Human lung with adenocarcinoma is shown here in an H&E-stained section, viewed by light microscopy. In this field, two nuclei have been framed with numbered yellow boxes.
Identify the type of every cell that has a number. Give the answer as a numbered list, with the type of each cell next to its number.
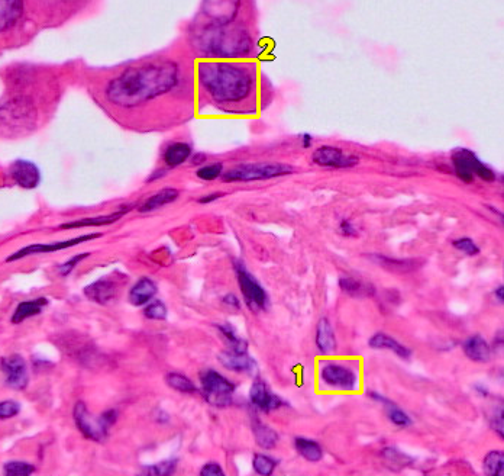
1. lymphocyte
2. carcinoma cell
